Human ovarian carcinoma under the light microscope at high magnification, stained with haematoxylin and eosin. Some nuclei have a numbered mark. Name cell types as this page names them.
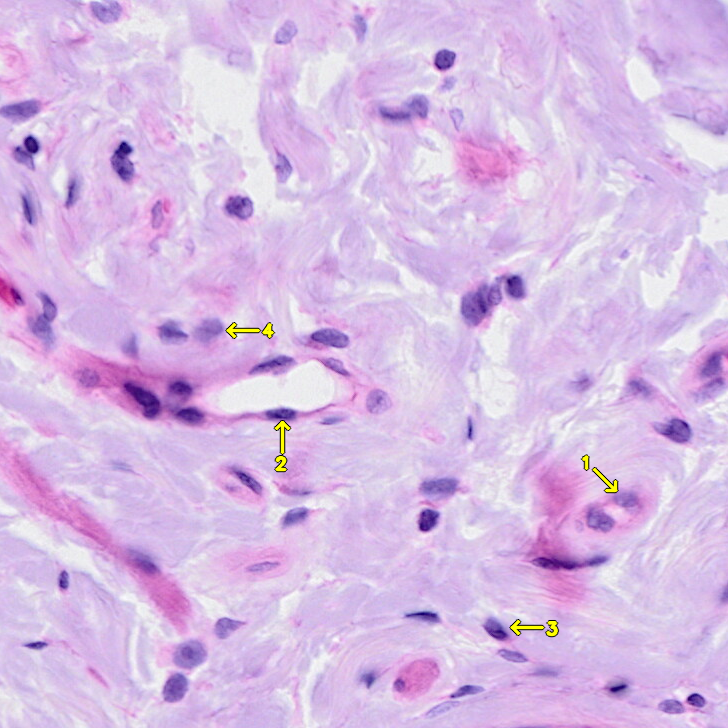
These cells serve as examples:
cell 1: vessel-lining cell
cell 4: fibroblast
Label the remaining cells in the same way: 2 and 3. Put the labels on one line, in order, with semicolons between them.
vessel-lining cell; fibroblast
